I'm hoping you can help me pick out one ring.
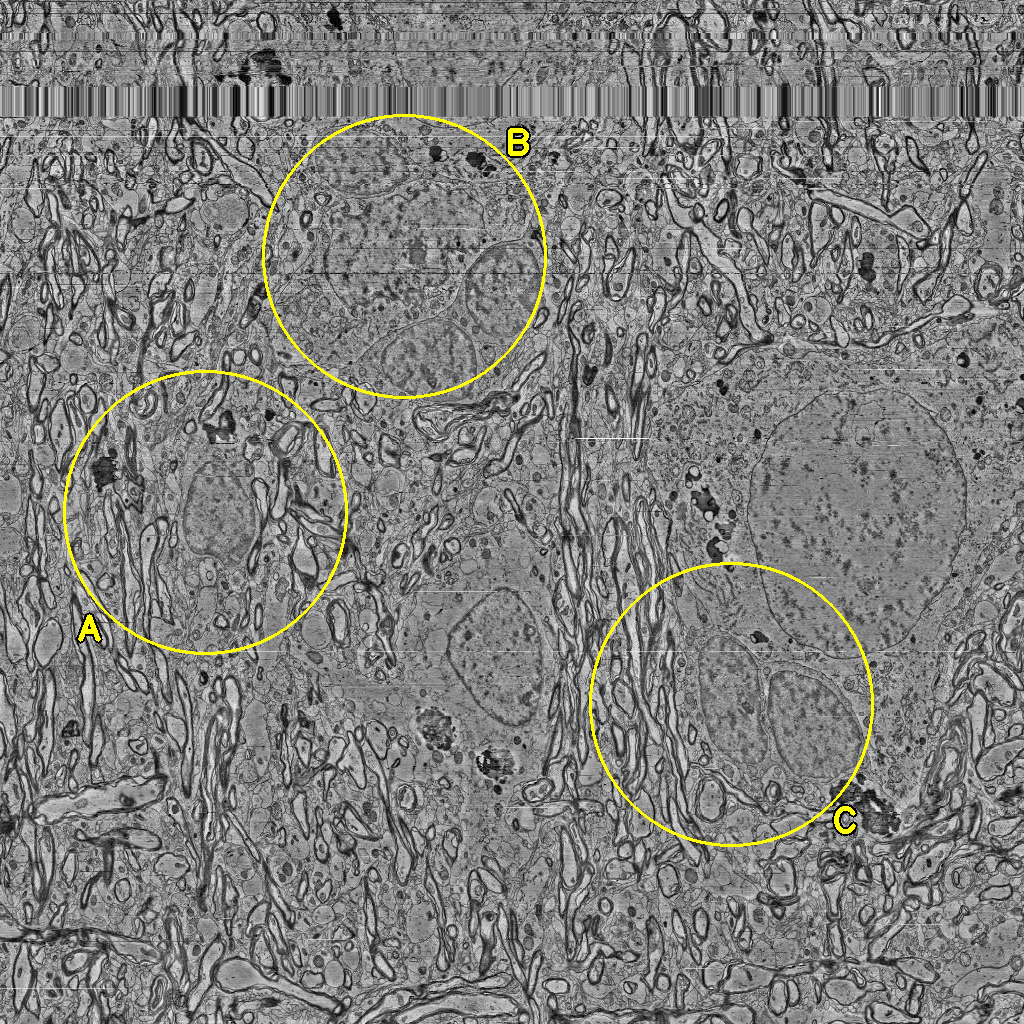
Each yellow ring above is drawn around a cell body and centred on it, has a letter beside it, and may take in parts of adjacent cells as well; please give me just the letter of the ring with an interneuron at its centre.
B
